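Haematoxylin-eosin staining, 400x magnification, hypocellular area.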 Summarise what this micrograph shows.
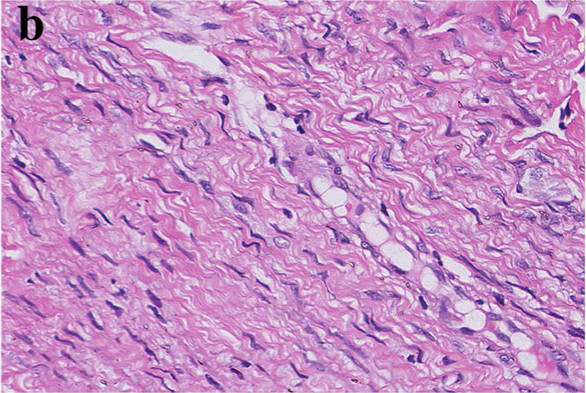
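Elongated spindle cells run in parallel layers through a wavy pink fibrous stroma. A few small clear vacuolated spaces lie between the layers.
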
